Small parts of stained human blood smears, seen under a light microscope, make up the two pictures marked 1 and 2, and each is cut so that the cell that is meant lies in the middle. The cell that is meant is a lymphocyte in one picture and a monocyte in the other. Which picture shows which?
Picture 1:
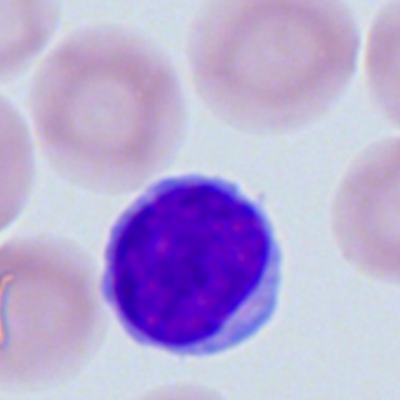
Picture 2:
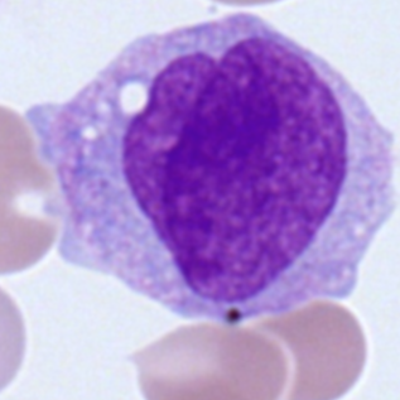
1: lymphocyte
2: monocyte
